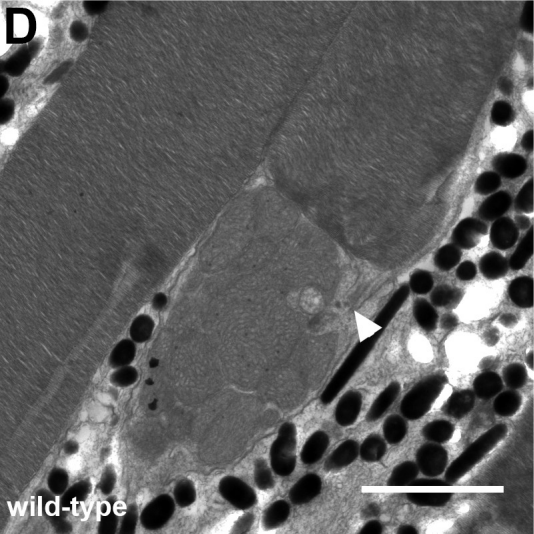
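This electron micrograph shows photoreceptor outer segments of the retina at high magnification. Large elongated blocks are filled with fine, closely packed parallel disc membranes running evenly across their width, giving a uniform striated texture. At the base of one outer segment a slender connecting cilium is marked, joining it to the paler inner segment region below. To the right lie many very electron-dense black granules, round and rod-shaped, packed between the photoreceptors. No vesicles or disordered membranes interrupt the regular stacking.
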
